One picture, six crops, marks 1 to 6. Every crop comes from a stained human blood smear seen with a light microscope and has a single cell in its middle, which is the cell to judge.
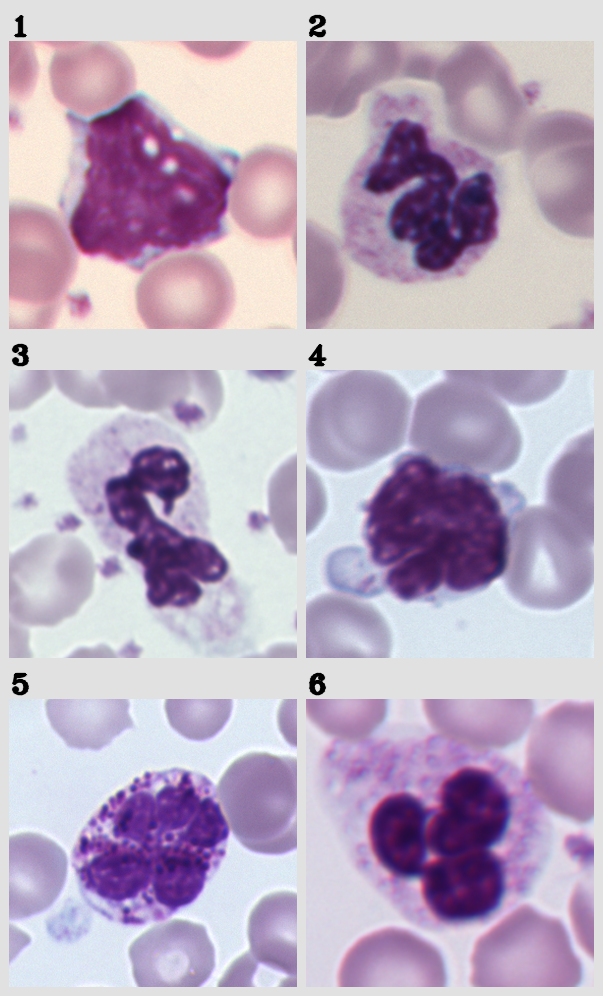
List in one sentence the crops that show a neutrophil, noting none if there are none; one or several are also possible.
The cells in the middle of crops 2, 3 and 6 are neutrophils.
